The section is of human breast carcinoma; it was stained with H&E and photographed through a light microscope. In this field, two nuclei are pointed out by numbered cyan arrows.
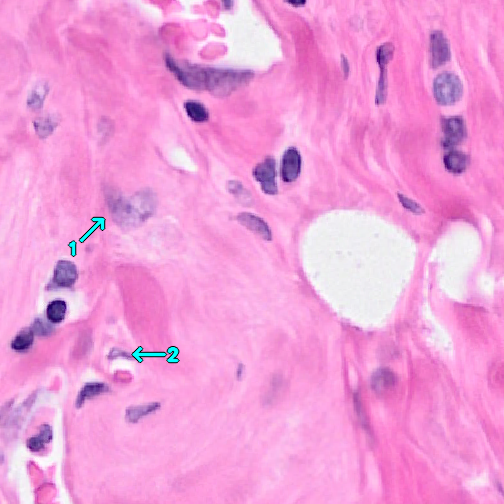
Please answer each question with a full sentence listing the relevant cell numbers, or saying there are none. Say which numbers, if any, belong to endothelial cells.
Cell 2 is an endothelial cell; every other numbered cell is something else.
